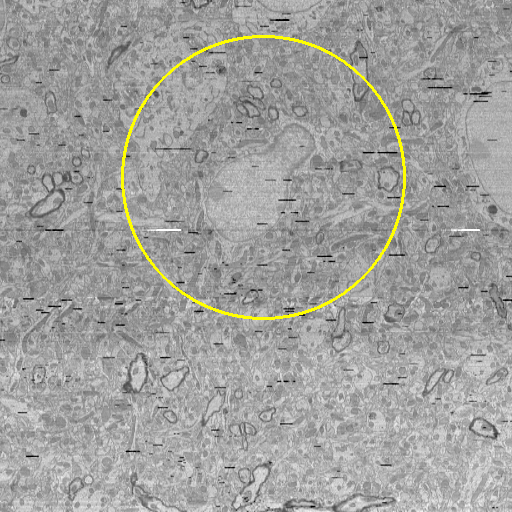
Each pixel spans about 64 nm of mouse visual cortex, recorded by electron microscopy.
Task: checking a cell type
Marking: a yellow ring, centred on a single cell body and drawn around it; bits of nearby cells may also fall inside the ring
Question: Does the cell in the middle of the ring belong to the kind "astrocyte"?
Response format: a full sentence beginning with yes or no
Yes, the cell marked at the ring's centre in the picture is of that kind.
